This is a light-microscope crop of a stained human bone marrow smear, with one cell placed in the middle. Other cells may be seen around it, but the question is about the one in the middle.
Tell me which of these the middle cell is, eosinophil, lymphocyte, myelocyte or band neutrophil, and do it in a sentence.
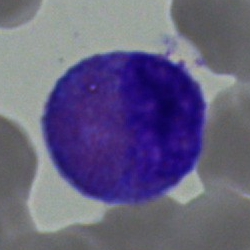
For this crop, the central cell is an eosinophil.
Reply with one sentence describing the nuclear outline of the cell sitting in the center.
What stands out is a nucleus forming one compact round, oval or kidney-shaped mass.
